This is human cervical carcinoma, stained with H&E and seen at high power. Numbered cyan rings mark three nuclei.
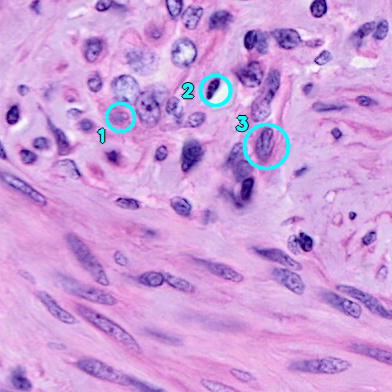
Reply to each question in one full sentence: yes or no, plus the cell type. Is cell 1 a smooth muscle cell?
Yes, it is a smooth muscle cell that carries the number 1.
